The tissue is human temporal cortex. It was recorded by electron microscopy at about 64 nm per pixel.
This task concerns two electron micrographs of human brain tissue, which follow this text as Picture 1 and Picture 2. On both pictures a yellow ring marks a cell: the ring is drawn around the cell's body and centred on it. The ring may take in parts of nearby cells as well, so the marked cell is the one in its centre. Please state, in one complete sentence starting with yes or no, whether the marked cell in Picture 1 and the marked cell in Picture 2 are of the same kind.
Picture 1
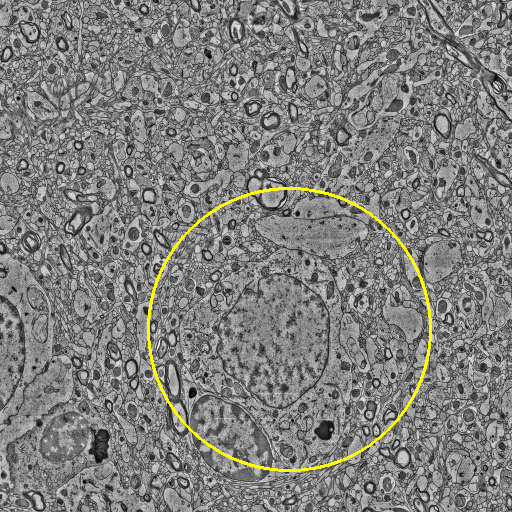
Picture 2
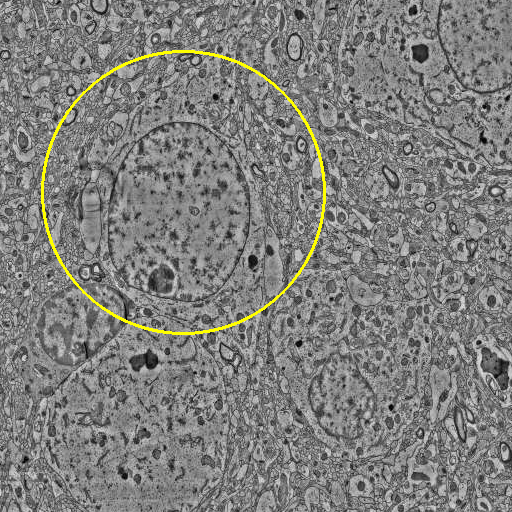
Yes, the marked cells in both pictures are of the same kind.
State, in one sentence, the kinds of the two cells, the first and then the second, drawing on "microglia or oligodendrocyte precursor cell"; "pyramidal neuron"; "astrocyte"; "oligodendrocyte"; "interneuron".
Both cells are the same kind, each one being a pyramidal neuron.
